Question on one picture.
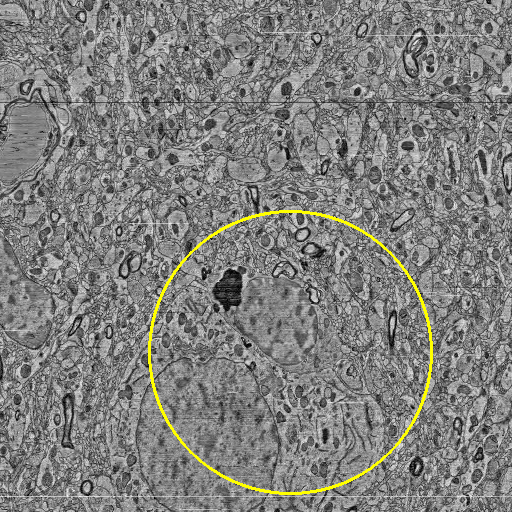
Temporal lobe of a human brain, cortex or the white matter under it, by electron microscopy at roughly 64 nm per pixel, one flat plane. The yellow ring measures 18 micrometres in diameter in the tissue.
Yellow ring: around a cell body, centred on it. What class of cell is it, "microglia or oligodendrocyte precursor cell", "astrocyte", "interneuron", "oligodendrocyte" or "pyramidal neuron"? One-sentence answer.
This is an oligodendrocyte, the cell the ring is centred on.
